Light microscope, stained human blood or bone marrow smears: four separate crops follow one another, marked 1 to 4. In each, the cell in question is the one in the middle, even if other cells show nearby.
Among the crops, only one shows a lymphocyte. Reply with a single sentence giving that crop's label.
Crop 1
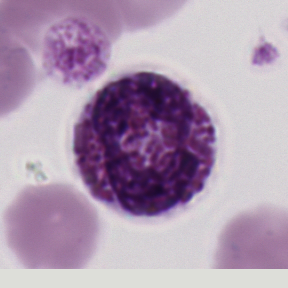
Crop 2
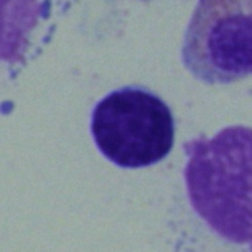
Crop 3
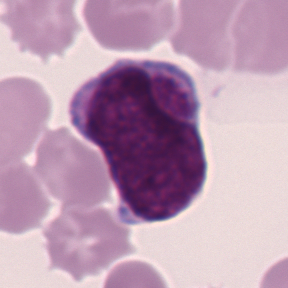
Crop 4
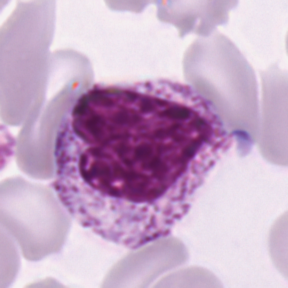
The cell at the center of crop 2 is the one that is a lymphocyte.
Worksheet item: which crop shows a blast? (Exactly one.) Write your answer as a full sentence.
It is in crop 3 that a blast is shown.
